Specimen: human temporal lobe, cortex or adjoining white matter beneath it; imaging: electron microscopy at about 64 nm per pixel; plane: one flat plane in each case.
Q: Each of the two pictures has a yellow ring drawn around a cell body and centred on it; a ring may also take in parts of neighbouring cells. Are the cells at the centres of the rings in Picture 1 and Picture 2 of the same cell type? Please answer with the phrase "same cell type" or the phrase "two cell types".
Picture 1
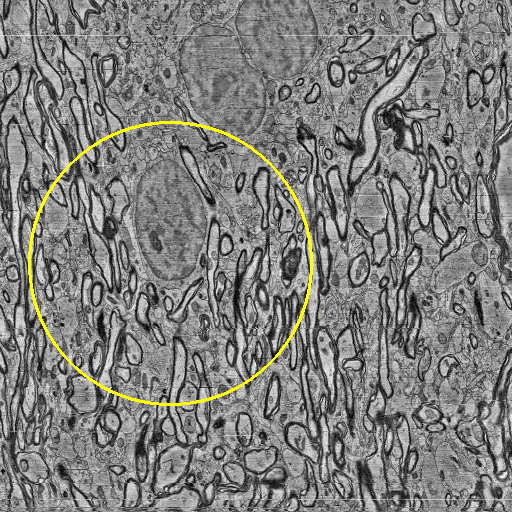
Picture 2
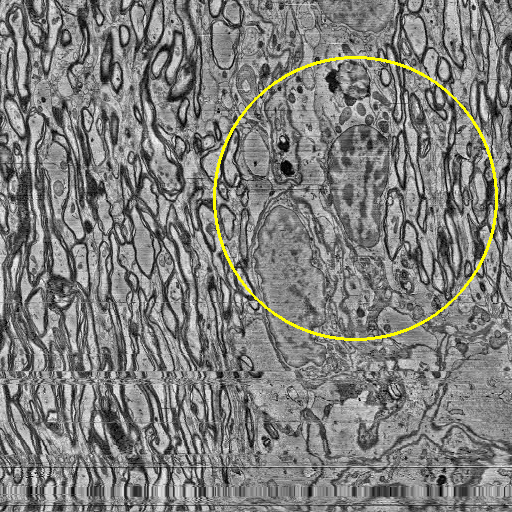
two cell types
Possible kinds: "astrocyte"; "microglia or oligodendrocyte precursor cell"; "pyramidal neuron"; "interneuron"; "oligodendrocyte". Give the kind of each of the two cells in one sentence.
The cell in the second picture is a microglial cell or oligodendrocyte precursor cell, and that in the first is an oligodendrocyte.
